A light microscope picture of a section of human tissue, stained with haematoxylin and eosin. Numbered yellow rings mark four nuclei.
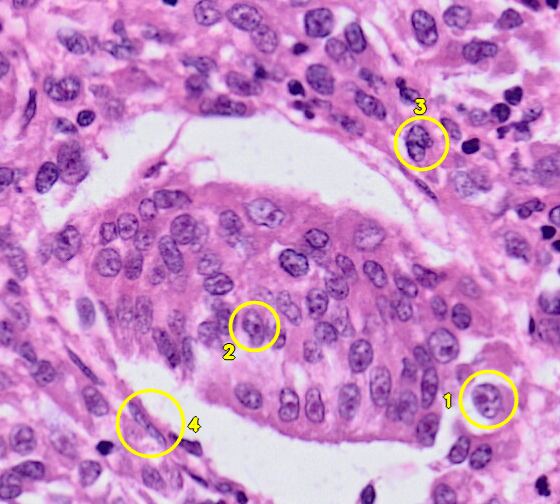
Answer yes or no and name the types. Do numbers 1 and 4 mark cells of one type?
No, not so; cell 1 is a melanoma cell and cell 4 is a macrophage or monocyte.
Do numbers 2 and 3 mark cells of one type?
Yes, of the numbered cells, 2 and 3 are both melanoma cells.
